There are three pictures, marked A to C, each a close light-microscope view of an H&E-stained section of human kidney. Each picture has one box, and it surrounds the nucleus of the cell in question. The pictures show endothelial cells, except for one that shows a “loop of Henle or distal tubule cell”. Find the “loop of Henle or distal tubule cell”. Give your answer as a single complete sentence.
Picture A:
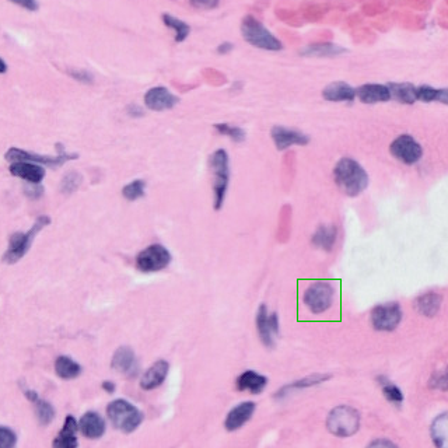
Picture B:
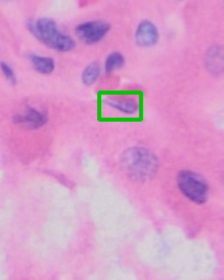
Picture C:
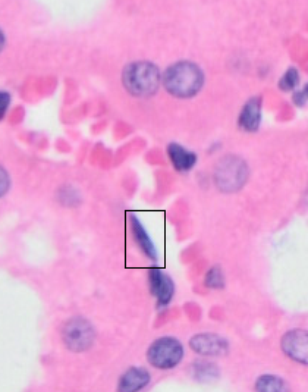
It is picture A that shows the “loop of Henle or distal tubule cell”.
